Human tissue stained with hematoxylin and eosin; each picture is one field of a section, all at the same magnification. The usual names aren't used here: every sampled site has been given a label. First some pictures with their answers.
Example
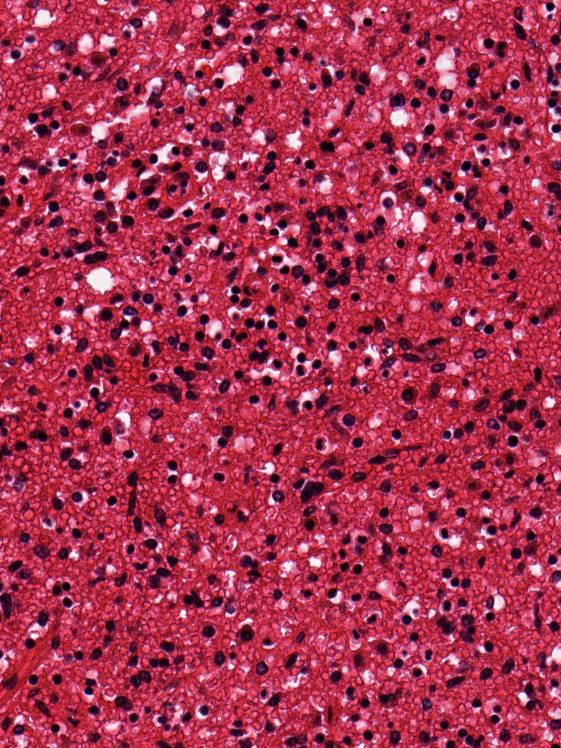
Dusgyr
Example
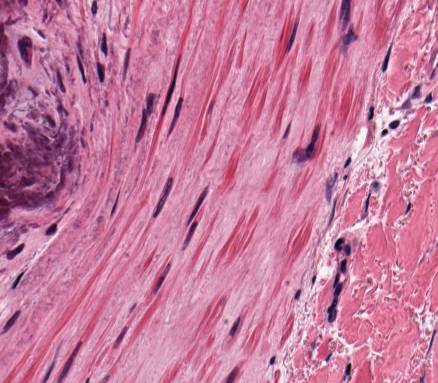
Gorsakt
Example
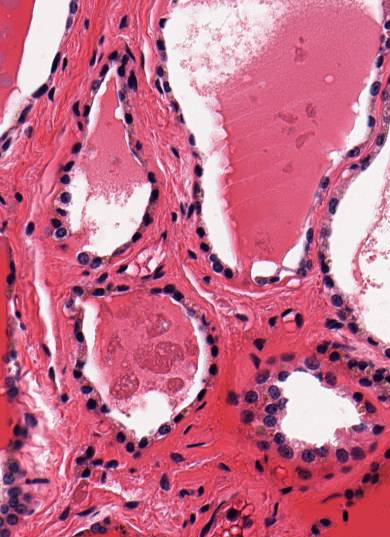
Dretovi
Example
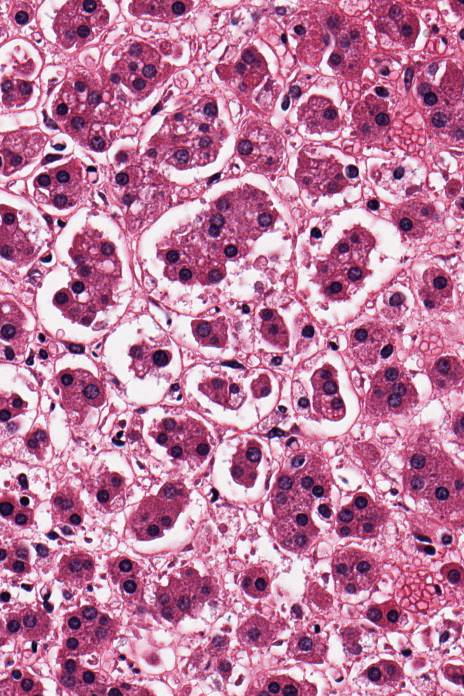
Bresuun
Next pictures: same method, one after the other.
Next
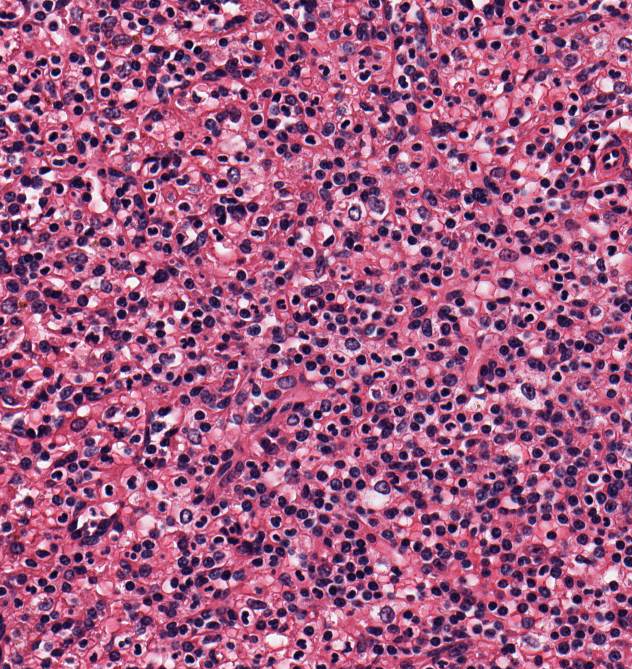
Dusgyr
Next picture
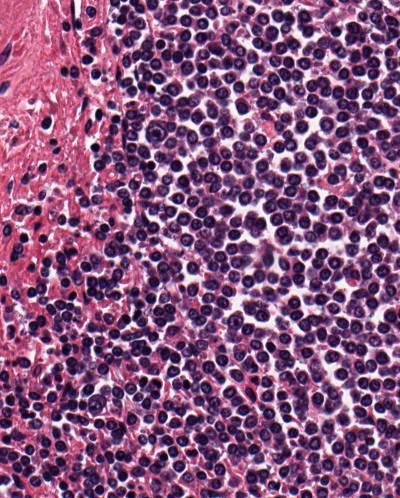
Dusgyr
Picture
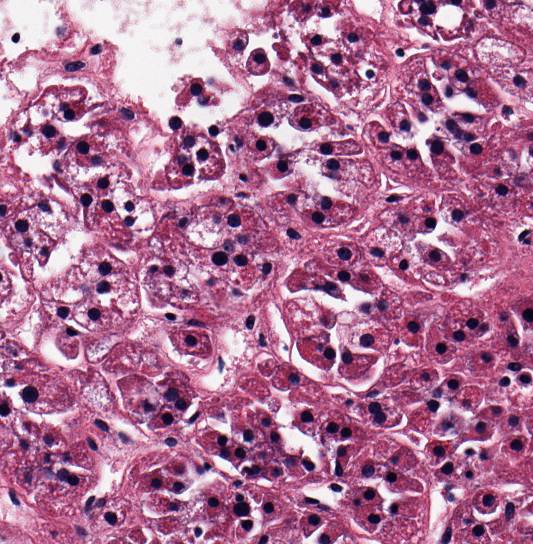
Bresuun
